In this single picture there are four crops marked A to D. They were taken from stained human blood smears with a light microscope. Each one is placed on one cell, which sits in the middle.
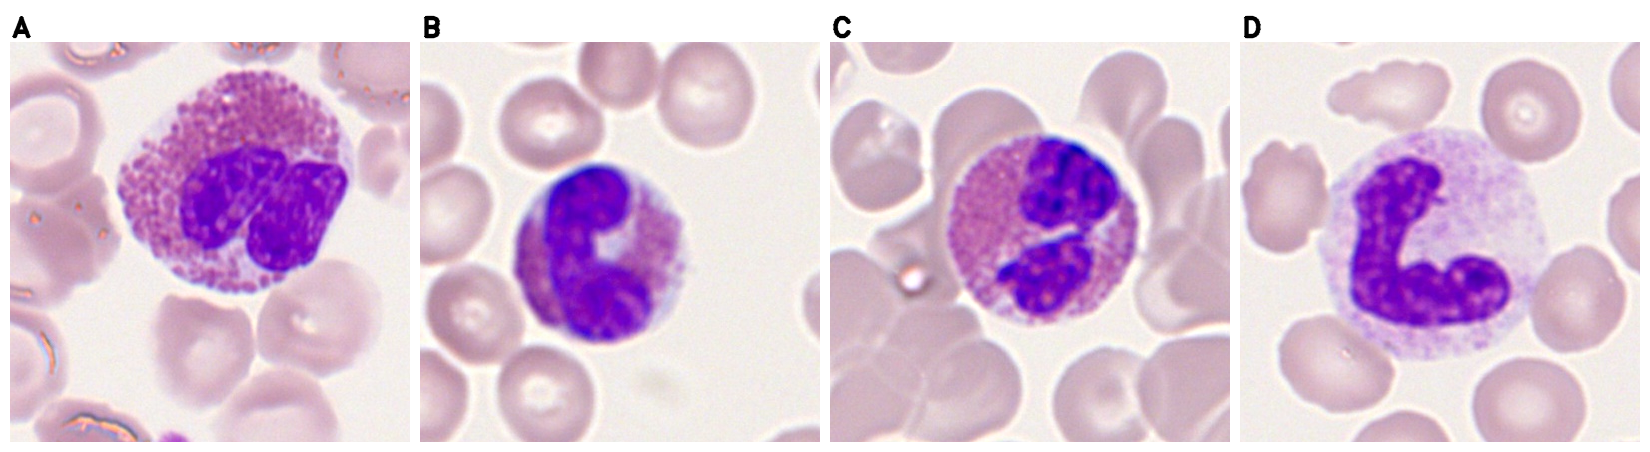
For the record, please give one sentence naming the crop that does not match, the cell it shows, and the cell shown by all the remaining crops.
Although the other crops all show eosinophils, crop D shows a band neutrophil.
